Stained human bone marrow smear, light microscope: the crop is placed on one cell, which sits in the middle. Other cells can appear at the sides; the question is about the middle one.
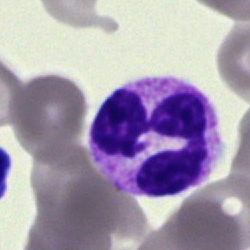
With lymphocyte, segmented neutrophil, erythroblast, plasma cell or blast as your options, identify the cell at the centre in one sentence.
The cell at the middle of the frame should be recorded as a segmented neutrophil.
